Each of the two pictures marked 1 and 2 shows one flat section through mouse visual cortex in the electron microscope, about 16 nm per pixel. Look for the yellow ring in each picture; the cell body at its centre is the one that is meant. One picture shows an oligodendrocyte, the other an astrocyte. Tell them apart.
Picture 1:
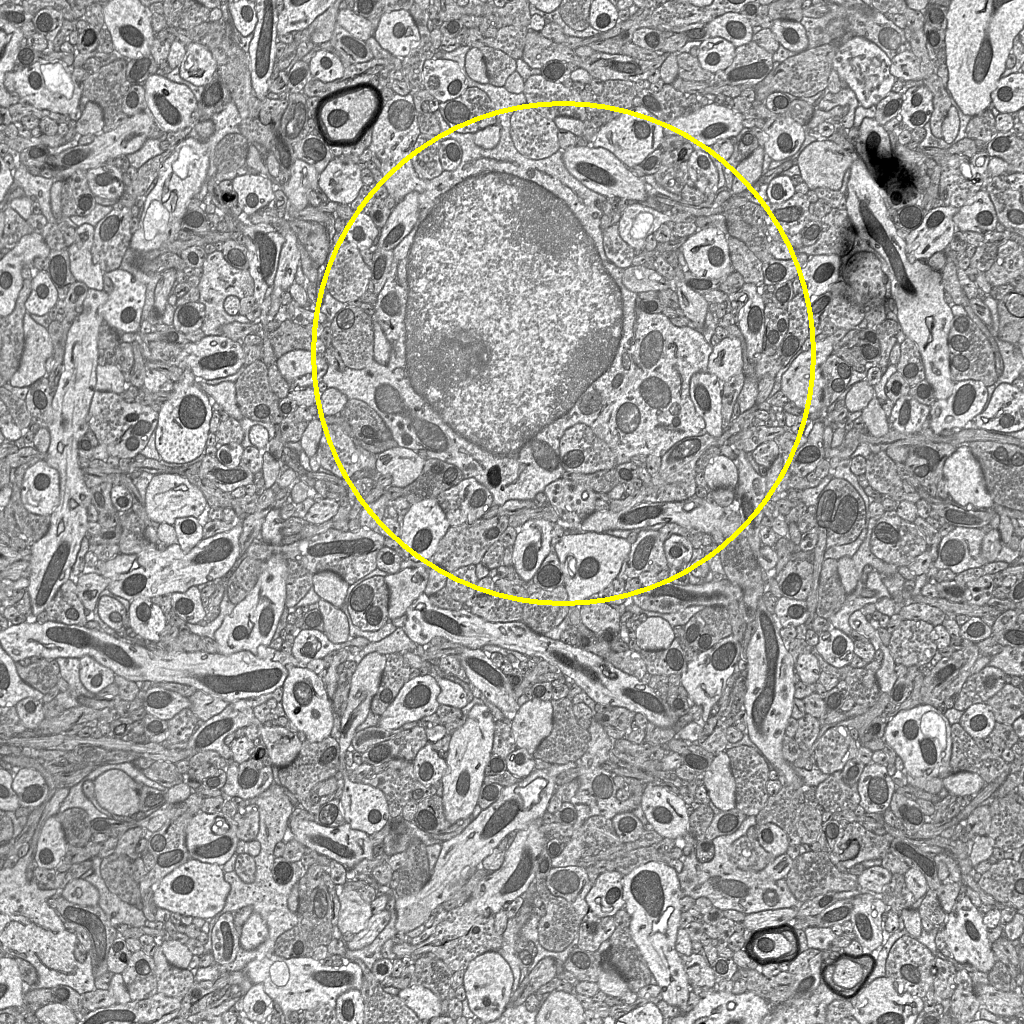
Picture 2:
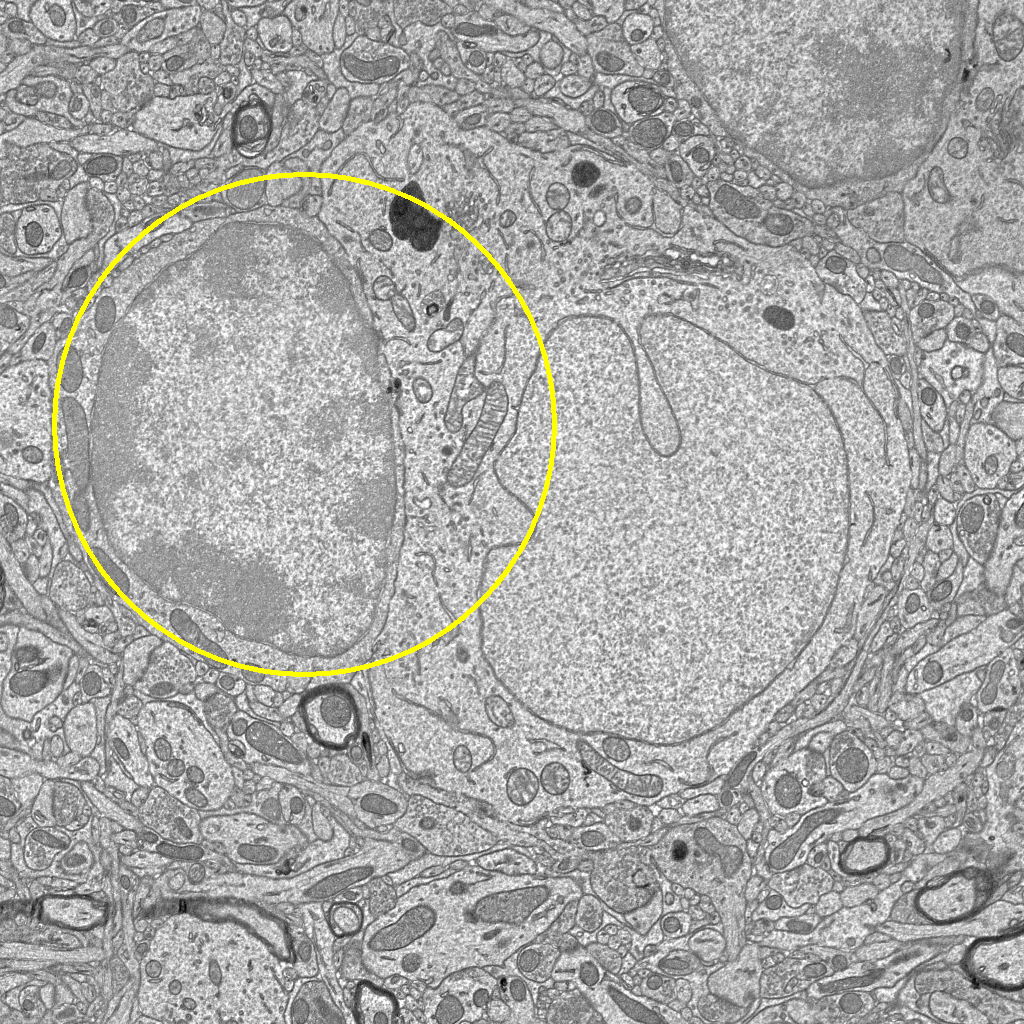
In picture 1 the cell is an astrocyte; in picture 2, an oligodendrocyte.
